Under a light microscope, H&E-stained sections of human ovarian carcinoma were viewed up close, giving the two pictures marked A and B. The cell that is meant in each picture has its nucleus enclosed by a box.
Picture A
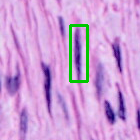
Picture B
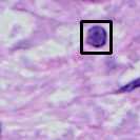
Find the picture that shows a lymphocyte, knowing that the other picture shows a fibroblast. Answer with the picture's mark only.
B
